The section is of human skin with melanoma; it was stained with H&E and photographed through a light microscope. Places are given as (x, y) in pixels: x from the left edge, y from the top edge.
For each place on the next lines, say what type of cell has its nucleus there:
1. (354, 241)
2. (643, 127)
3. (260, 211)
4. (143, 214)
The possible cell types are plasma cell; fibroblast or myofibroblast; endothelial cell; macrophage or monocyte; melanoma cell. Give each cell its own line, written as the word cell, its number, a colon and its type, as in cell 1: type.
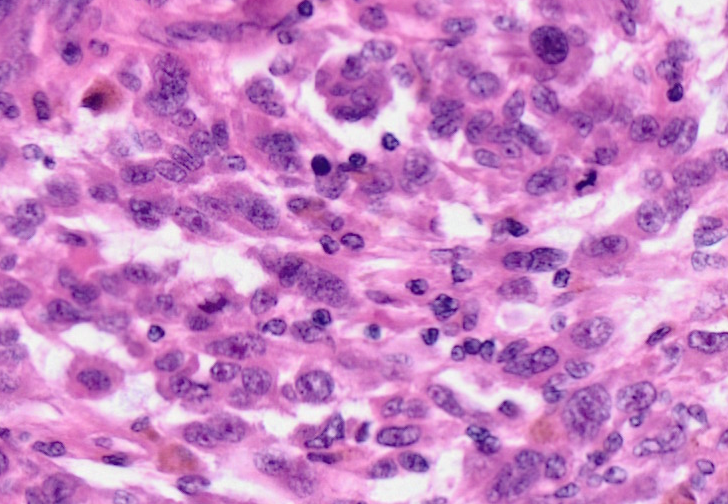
cell 1: macrophage or monocyte
cell 2: melanoma cell
cell 3: melanoma cell
cell 4: melanoma cell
